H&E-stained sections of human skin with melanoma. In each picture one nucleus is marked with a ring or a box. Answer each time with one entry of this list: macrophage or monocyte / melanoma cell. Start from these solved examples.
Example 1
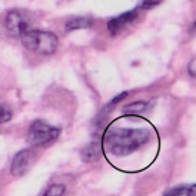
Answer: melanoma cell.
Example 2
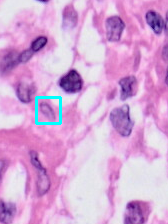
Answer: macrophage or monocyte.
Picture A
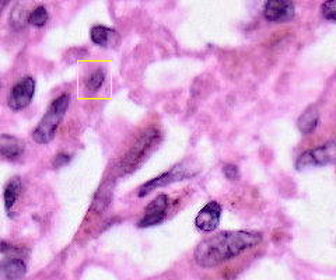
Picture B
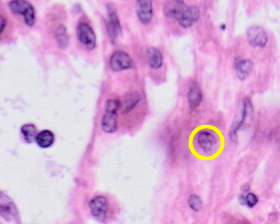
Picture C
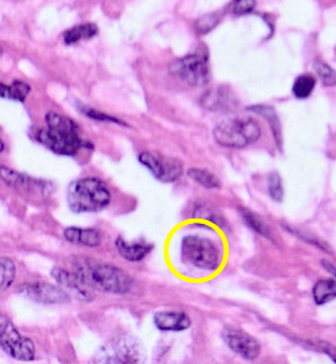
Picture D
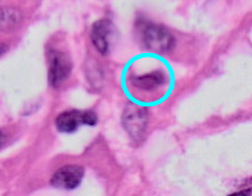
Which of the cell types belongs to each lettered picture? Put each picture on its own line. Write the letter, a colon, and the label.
A: macrophage or monocyte.
B: macrophage or monocyte.
C: melanoma cell.
D: melanoma cell.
